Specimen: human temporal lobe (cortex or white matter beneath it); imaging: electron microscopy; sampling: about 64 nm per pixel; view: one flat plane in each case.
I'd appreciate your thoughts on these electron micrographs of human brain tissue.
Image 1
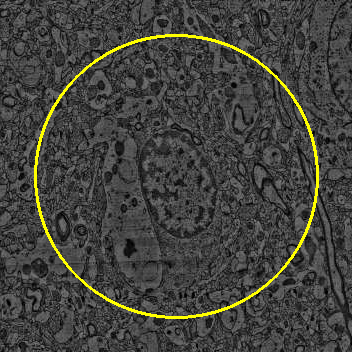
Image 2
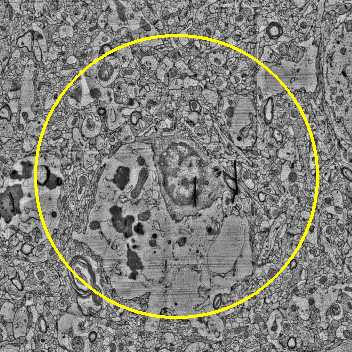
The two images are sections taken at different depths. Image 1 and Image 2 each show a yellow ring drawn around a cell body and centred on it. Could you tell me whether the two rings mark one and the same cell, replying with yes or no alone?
yes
